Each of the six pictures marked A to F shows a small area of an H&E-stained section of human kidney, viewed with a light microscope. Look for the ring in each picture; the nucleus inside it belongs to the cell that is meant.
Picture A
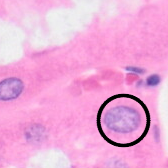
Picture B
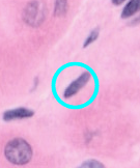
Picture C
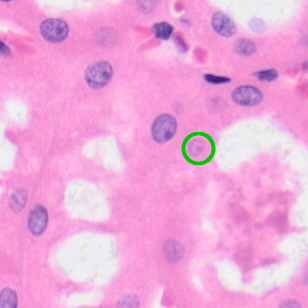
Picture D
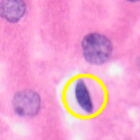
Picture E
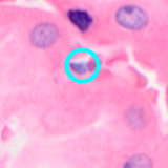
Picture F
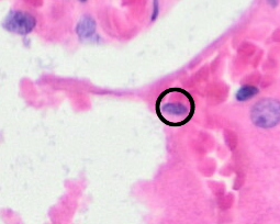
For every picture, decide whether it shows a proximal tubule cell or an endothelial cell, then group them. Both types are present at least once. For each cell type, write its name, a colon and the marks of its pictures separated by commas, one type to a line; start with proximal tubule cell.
proximal tubule cell: A, C
endothelial cell: B, D, E, F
